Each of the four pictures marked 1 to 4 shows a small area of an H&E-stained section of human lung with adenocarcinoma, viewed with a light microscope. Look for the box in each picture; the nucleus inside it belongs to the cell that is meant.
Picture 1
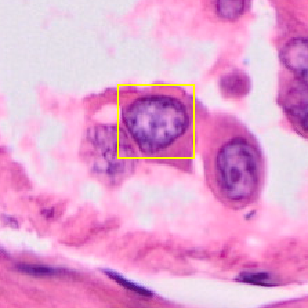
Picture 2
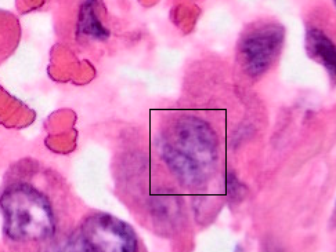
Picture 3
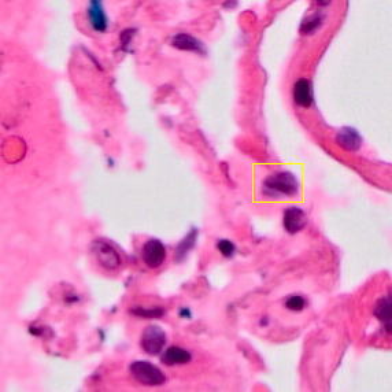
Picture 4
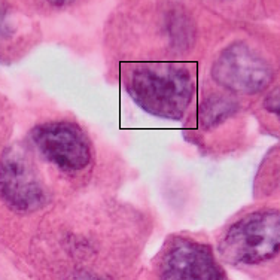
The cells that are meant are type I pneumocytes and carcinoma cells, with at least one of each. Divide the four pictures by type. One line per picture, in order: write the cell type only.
carcinoma cell
carcinoma cell
type I pneumocyte
carcinoma cell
